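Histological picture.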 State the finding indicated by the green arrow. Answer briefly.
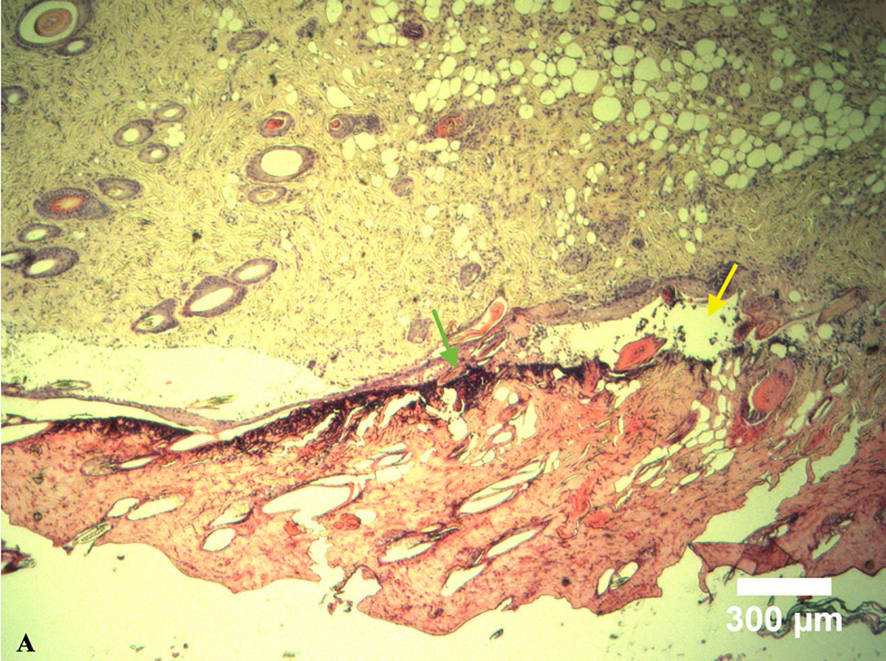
Epidermal necrosis.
